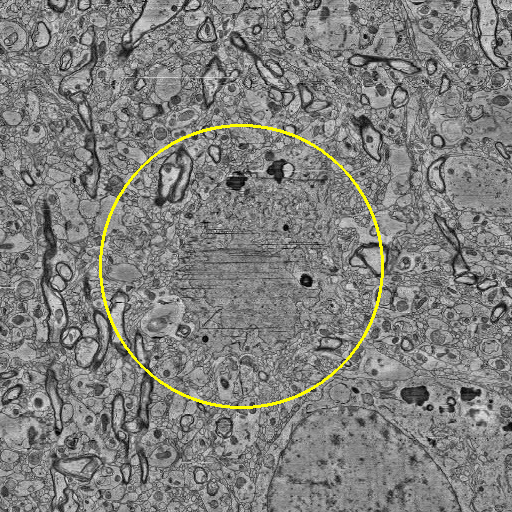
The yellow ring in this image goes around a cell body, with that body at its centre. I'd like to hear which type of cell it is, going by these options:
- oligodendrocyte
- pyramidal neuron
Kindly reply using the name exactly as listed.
pyramidal neuron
